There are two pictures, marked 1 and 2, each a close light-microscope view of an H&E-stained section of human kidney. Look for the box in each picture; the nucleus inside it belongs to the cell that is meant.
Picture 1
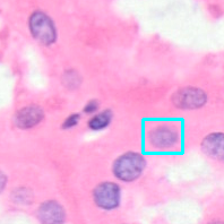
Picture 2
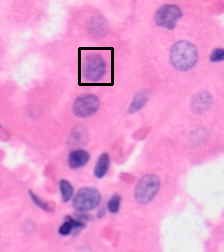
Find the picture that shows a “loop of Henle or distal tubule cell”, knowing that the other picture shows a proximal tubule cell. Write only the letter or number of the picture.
1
